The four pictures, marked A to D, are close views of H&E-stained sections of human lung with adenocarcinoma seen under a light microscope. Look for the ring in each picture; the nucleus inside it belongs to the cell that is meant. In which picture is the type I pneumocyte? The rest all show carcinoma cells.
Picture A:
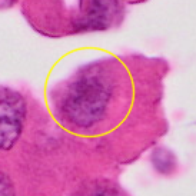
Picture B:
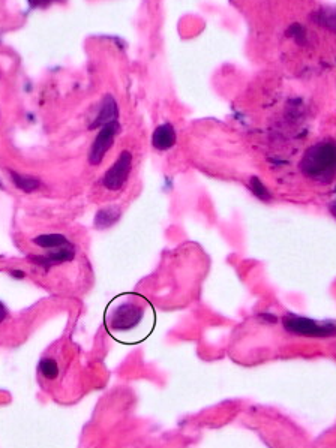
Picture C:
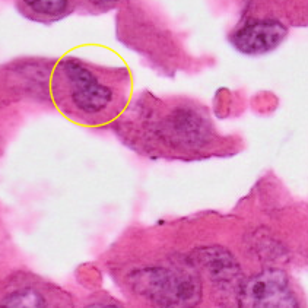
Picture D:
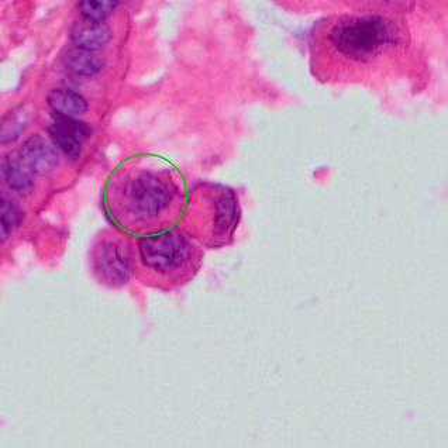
B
